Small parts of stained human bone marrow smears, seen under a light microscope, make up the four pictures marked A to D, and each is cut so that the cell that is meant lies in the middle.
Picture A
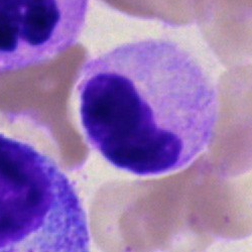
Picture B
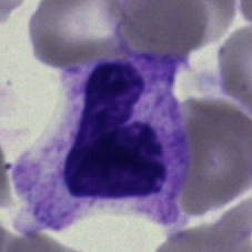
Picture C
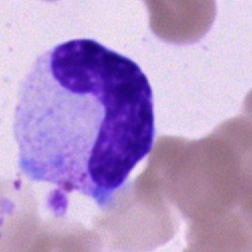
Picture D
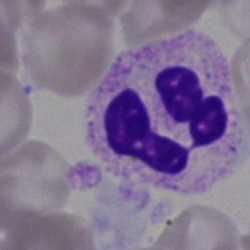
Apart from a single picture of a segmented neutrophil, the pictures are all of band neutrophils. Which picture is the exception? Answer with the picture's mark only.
D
